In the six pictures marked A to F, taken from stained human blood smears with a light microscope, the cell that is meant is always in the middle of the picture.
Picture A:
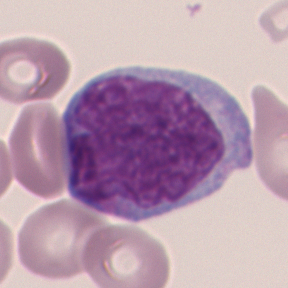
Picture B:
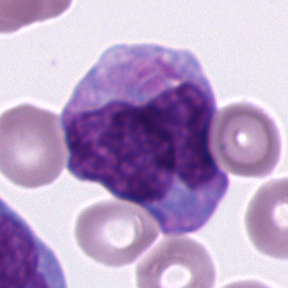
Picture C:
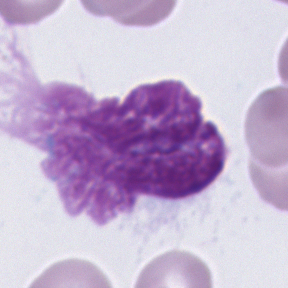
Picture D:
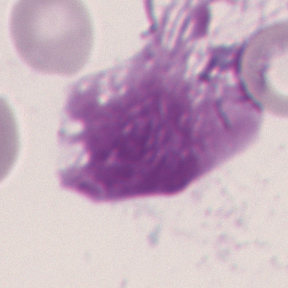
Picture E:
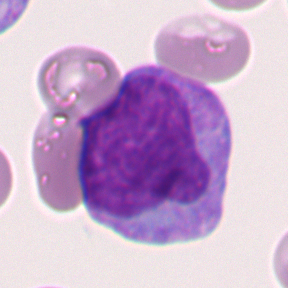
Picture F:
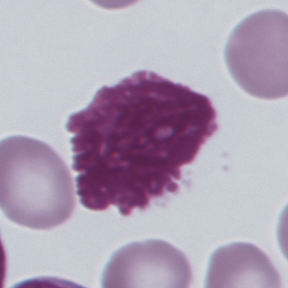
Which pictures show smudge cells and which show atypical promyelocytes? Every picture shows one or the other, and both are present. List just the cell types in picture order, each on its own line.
atypical promyelocyte
atypical promyelocyte
smudge cell
smudge cell
atypical promyelocyte
smudge cell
